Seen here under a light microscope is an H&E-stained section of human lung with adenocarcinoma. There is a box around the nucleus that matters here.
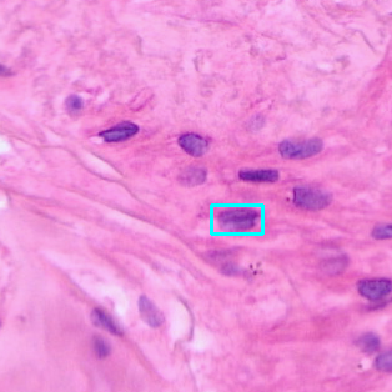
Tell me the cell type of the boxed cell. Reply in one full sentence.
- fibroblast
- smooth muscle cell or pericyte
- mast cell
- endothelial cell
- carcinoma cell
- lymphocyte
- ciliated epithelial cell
Recorded by type, the boxed cell is a smooth muscle cell or pericyte.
